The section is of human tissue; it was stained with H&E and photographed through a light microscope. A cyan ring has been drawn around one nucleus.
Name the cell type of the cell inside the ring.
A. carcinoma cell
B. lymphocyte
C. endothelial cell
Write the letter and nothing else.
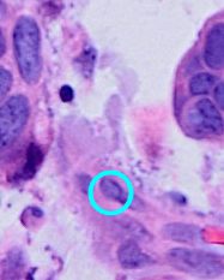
C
